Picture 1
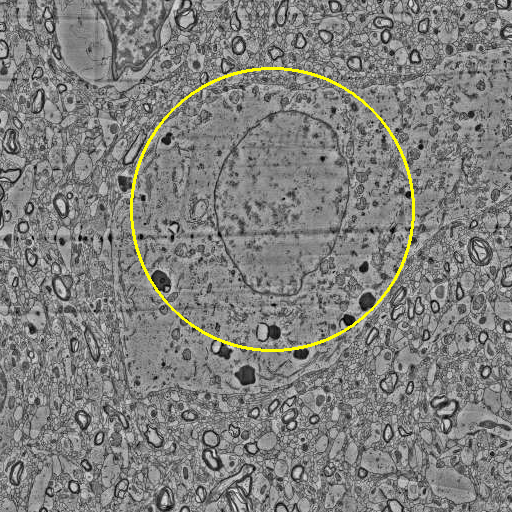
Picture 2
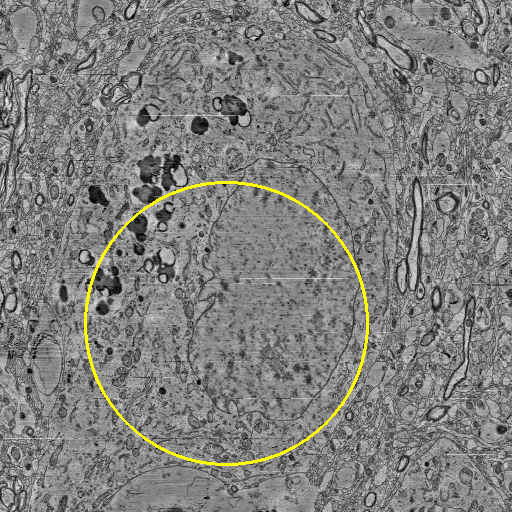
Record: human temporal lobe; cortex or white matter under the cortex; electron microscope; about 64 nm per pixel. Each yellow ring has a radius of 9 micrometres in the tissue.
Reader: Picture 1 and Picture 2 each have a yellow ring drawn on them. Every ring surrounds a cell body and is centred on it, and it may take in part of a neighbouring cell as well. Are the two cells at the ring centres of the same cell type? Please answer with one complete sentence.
Yes, both cells are of the same cell type.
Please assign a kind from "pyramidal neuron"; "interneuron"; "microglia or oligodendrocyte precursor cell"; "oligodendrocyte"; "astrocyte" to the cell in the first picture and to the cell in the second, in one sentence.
Each of the ringed cells, first and second, is a pyramidal neuron.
